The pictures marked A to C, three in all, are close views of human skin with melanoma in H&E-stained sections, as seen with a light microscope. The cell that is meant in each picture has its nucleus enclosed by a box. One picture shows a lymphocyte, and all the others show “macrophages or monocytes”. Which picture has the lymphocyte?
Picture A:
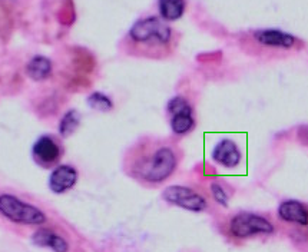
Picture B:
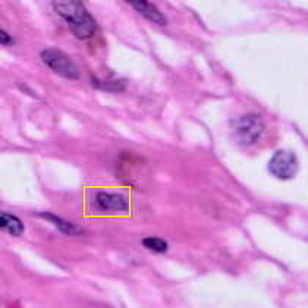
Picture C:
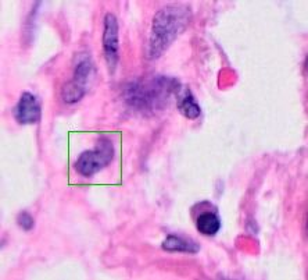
A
